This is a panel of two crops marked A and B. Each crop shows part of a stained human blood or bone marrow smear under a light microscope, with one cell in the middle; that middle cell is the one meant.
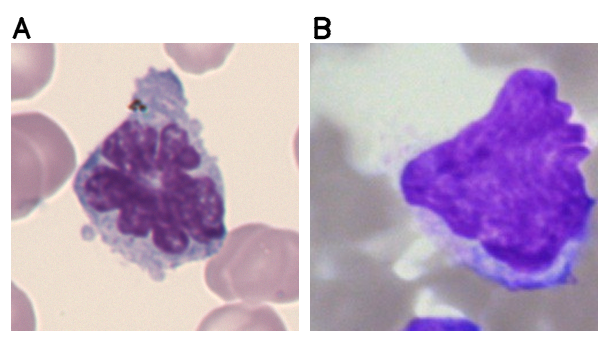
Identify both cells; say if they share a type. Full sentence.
No, crop A contains a monocyte, whereas crop B contains a blast.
